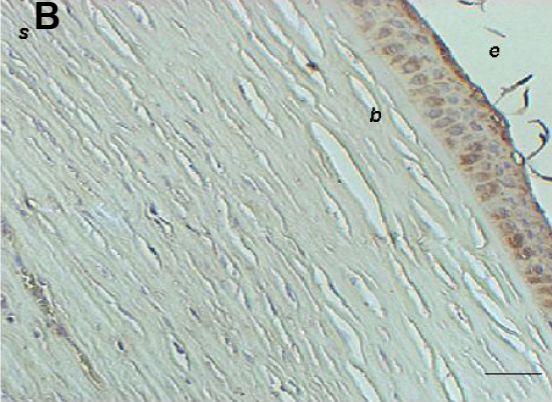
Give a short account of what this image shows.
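This section of cornea shows the brown-stained epithelium along the upper right edge, a pale Bowman’s layer beneath it and the stroma across most of the field. The epithelial cells are stacked in several layers, with rounded nuclei and brown stained cytoplasm and borders. Under them lies a smooth, pale, cell-free band, Bowman’s layer. The stroma is made of parallel lamellae running diagonally, with thin elongated nuclei of its cells lying between them and narrow clear slits along the same direction.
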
